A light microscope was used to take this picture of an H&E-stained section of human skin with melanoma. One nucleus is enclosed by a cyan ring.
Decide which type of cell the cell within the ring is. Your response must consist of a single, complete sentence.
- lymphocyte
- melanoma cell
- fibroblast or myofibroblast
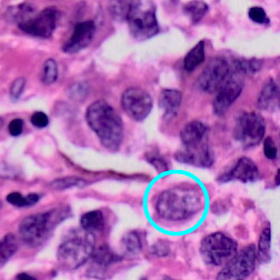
As far as its identity is concerned, the cell within the ring is a melanoma cell.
